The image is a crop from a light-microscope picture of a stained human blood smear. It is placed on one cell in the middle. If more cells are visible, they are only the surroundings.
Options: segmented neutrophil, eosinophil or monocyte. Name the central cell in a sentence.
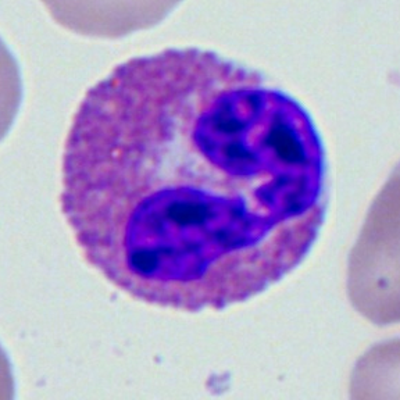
The cell that lies at the centre of the crop is an eosinophil.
